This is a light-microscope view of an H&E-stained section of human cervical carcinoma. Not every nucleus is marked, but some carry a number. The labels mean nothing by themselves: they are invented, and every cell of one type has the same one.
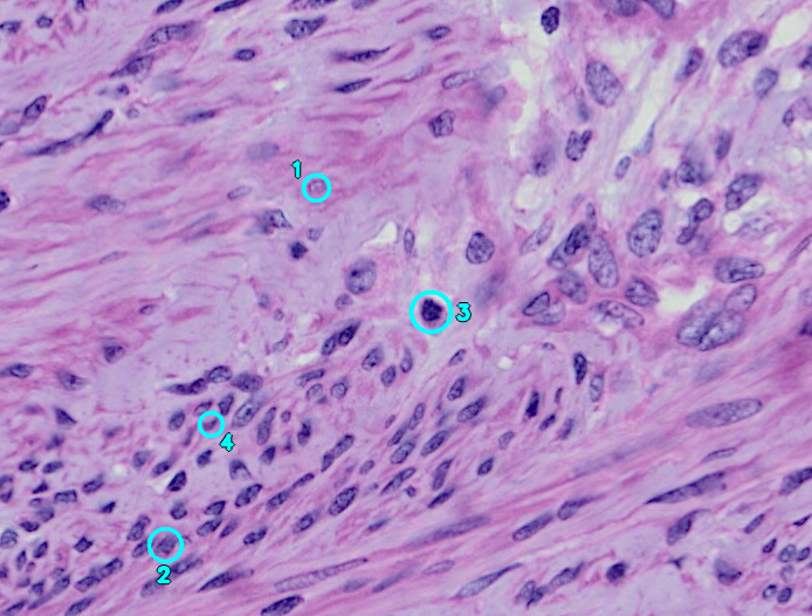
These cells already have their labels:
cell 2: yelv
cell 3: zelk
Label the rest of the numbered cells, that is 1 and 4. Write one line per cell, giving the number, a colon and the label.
1: yelv
4: yelv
